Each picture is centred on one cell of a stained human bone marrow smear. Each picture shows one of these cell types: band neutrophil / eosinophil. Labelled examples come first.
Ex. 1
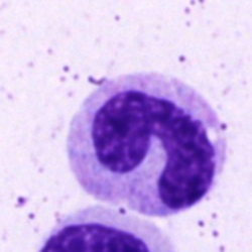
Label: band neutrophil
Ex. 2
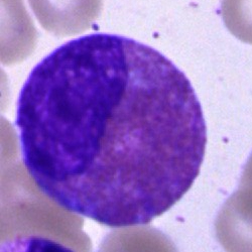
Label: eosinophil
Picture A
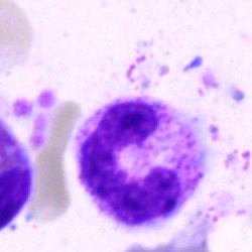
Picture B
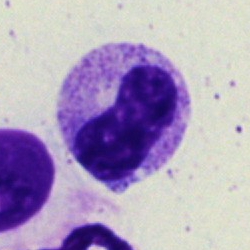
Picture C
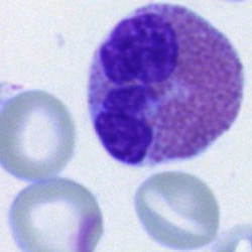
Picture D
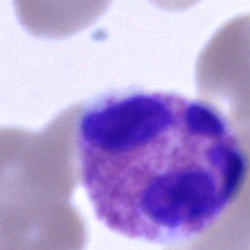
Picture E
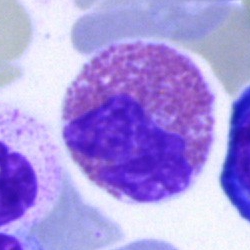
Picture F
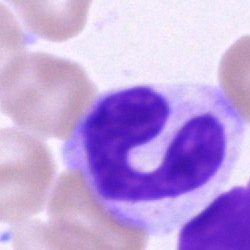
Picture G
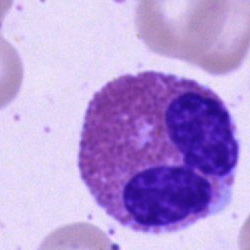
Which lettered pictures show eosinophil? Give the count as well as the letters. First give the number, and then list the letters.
4: C, D, E, G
